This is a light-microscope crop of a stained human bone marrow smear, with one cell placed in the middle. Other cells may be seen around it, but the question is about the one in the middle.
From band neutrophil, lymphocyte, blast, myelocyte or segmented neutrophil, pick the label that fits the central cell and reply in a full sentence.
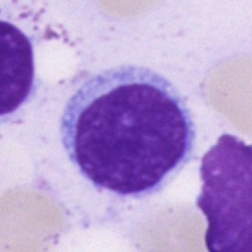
The central cell in this smear crop is a lymphocyte.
